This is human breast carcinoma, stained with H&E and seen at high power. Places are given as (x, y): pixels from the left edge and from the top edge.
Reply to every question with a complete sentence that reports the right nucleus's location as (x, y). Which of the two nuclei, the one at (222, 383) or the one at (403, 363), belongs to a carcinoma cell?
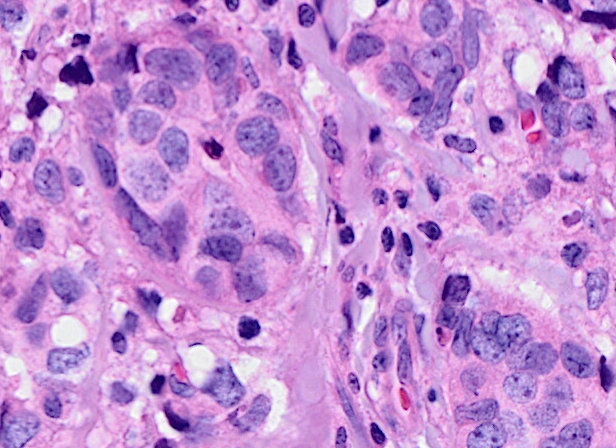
Of the two nuclei, the nucleus of a carcinoma cell is at (222, 383).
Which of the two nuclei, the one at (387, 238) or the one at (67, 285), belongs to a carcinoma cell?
The nucleus of a carcinoma cell is the one found at (67, 285), not the other.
